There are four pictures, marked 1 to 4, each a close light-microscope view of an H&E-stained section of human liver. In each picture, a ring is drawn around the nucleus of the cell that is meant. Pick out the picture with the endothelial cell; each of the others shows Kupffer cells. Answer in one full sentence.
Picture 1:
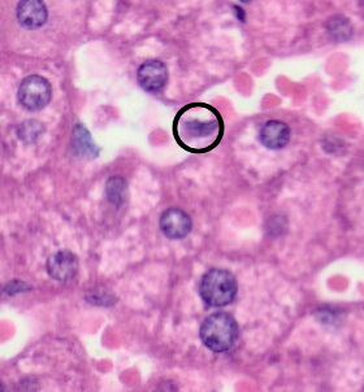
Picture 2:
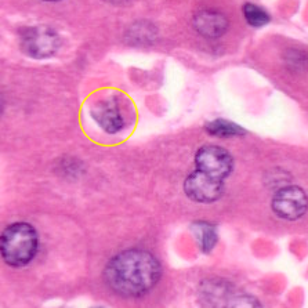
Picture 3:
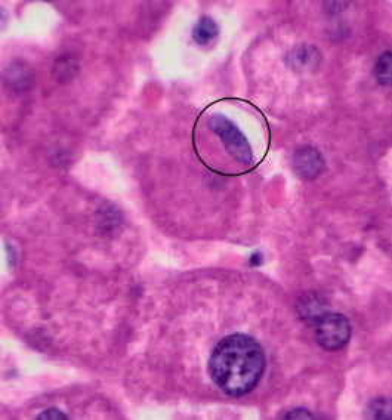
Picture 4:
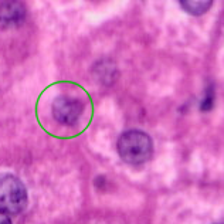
Picture 4 shows the endothelial cell.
